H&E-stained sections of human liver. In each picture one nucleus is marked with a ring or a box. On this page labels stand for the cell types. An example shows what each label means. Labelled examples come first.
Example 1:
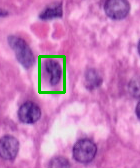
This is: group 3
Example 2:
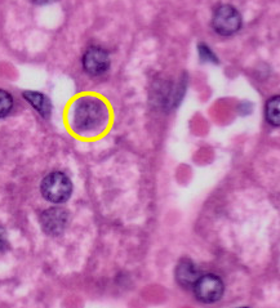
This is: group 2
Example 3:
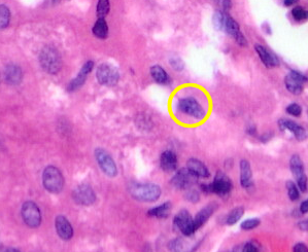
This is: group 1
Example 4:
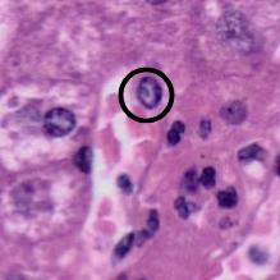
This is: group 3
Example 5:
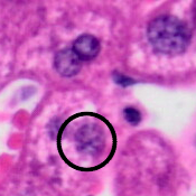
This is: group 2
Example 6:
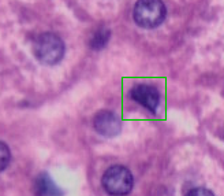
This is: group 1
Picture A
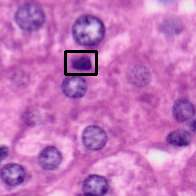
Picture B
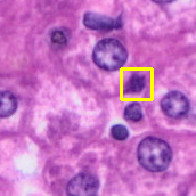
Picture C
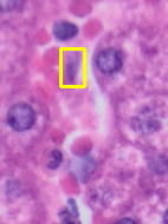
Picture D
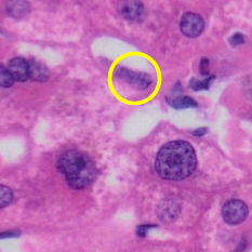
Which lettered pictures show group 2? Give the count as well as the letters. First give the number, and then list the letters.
0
